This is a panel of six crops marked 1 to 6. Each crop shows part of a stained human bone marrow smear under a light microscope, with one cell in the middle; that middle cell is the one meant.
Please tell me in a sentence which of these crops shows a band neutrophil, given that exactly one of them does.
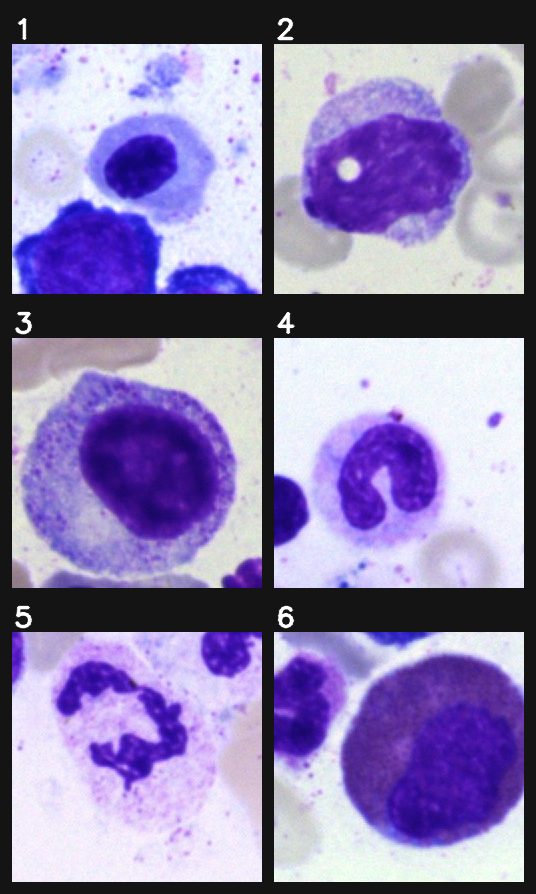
Crop 4 represents a band neutrophil, while the other crops do not.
